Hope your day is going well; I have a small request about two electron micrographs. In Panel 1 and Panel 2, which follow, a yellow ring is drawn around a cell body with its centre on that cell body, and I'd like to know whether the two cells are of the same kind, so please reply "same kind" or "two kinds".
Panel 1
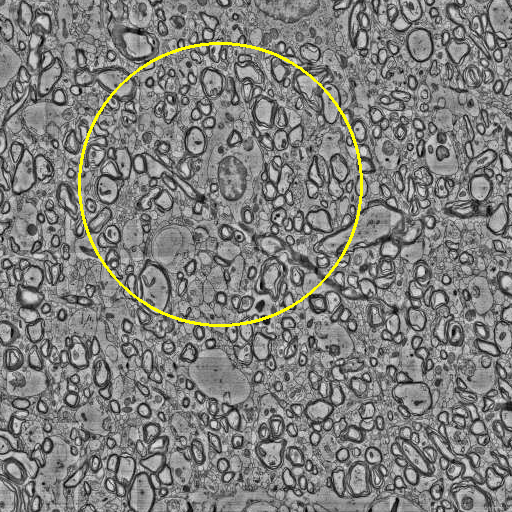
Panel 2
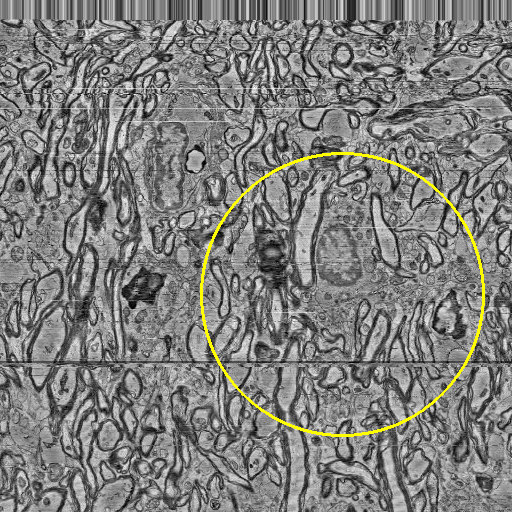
two kinds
